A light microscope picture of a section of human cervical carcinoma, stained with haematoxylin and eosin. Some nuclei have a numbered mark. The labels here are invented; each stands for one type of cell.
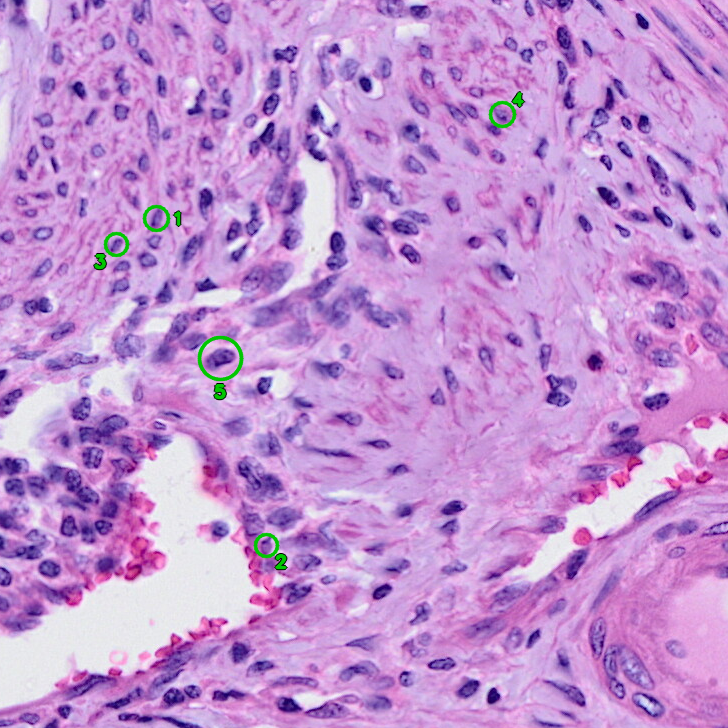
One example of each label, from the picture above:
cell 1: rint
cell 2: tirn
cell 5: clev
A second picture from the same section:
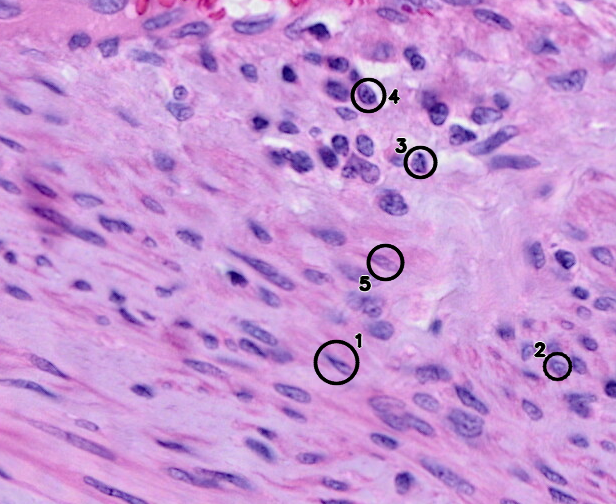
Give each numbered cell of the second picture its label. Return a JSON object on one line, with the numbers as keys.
{"1": "rint", "2": "rint", "3": "clev", "4": "clev", "5": "rint"}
